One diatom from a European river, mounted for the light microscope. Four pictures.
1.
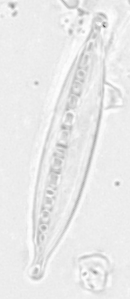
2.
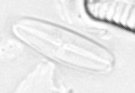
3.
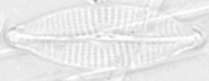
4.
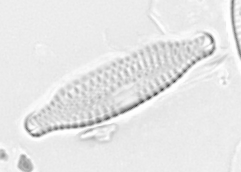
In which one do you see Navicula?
In picture 3.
